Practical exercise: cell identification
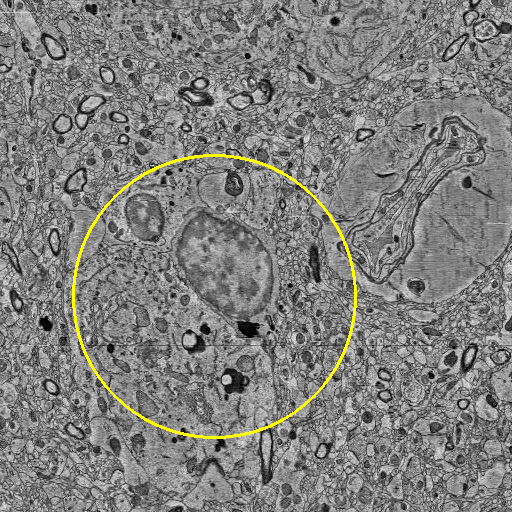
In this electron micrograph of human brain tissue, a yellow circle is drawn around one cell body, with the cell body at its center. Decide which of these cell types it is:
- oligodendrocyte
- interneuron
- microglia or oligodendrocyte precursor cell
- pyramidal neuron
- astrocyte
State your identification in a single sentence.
The ringed cell is an oligodendrocyte.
